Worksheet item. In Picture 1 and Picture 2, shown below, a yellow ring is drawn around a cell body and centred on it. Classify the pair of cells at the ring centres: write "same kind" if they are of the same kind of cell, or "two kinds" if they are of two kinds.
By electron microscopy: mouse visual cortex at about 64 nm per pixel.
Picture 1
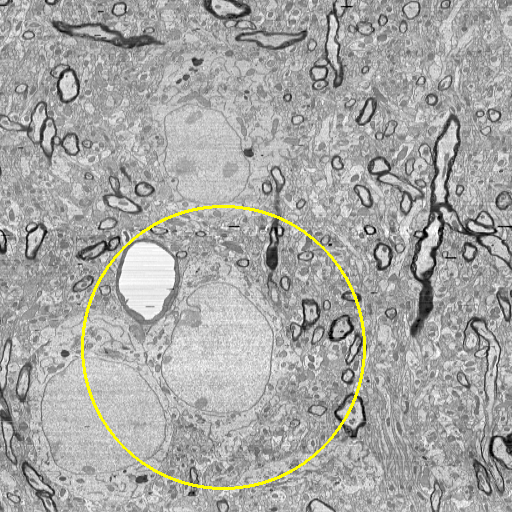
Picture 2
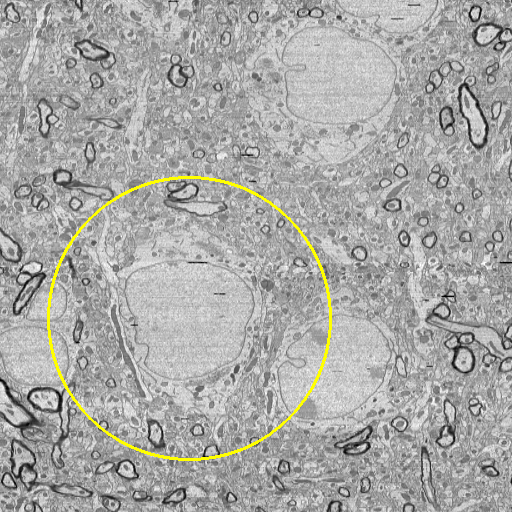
same kind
